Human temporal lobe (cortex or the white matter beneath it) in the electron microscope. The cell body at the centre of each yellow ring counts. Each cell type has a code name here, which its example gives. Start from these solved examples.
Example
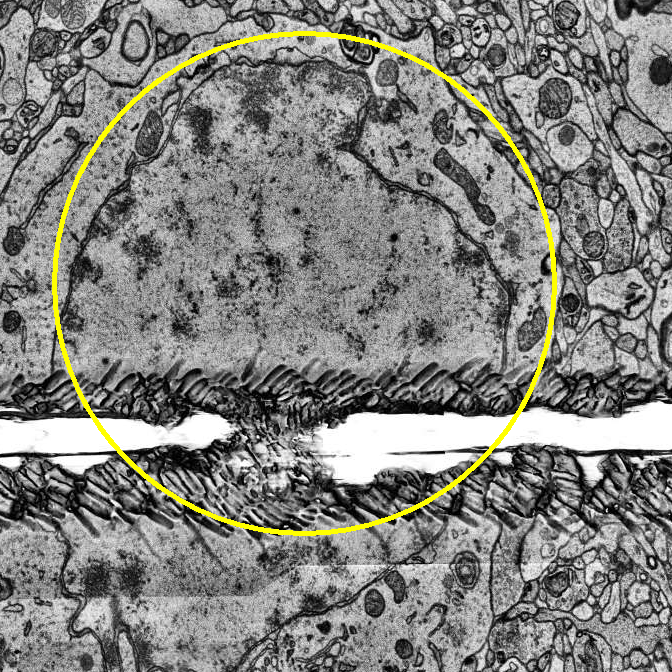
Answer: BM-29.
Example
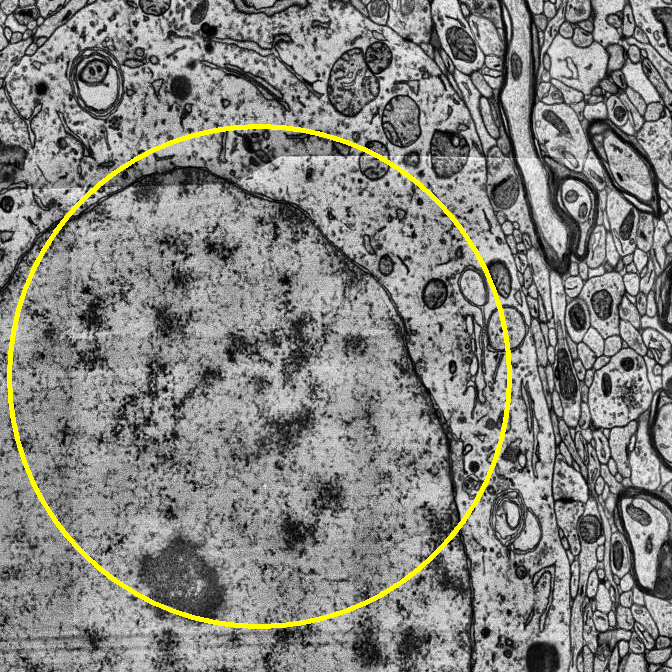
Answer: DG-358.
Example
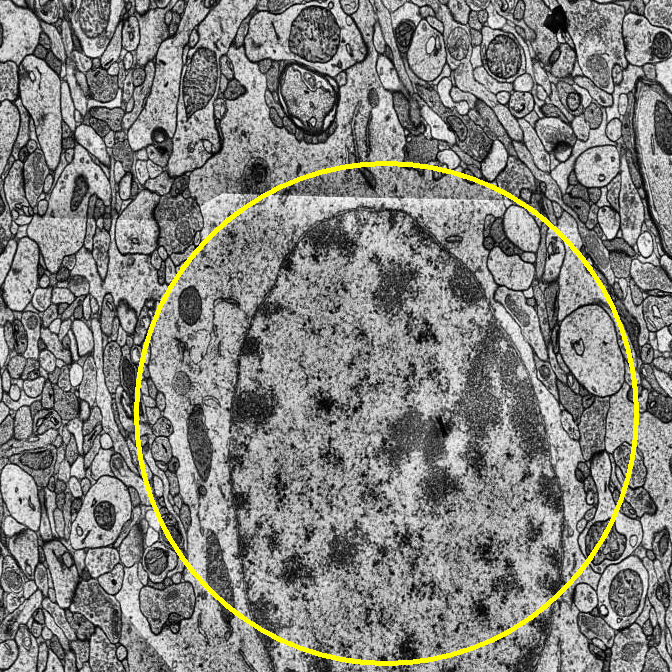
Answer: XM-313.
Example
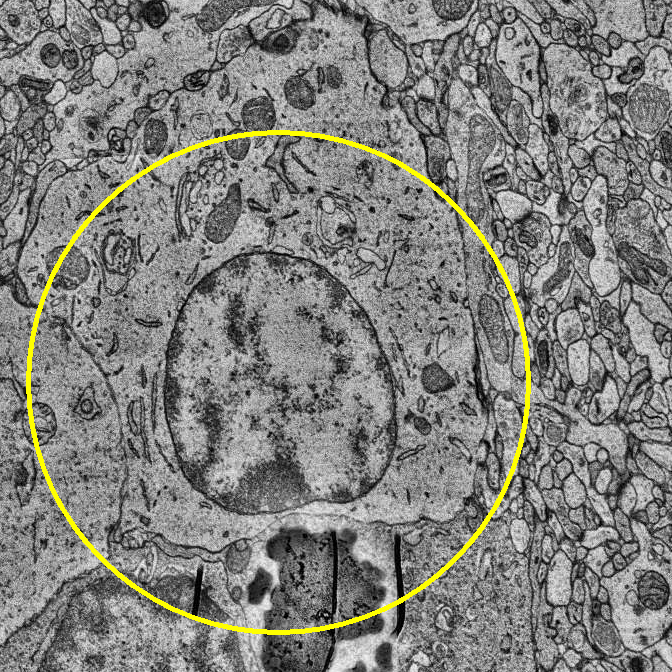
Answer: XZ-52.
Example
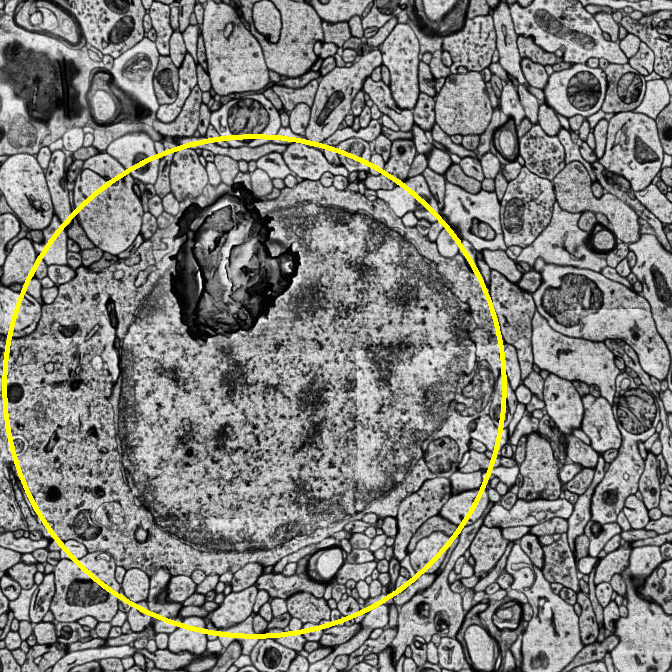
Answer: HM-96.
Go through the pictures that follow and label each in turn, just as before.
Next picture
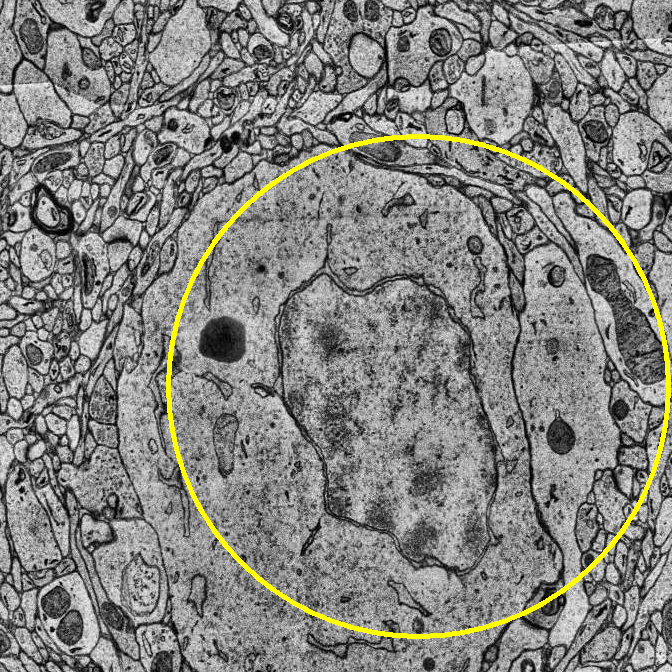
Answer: BM-29.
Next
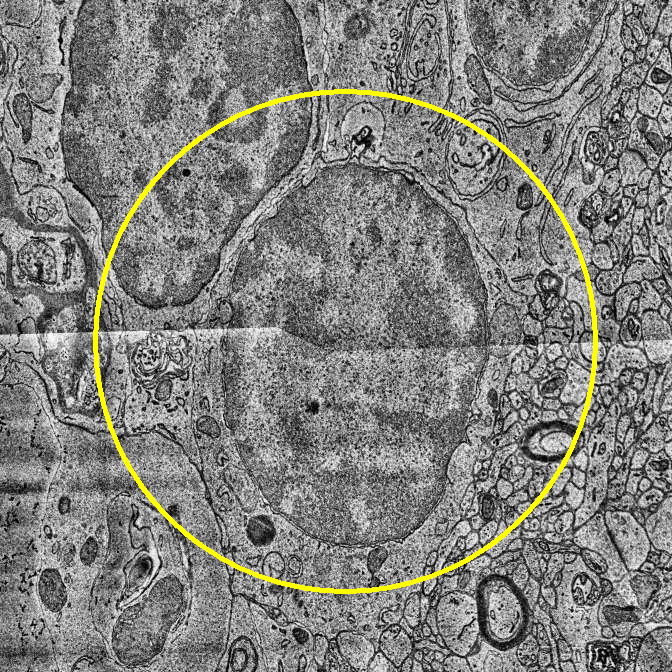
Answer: HM-96.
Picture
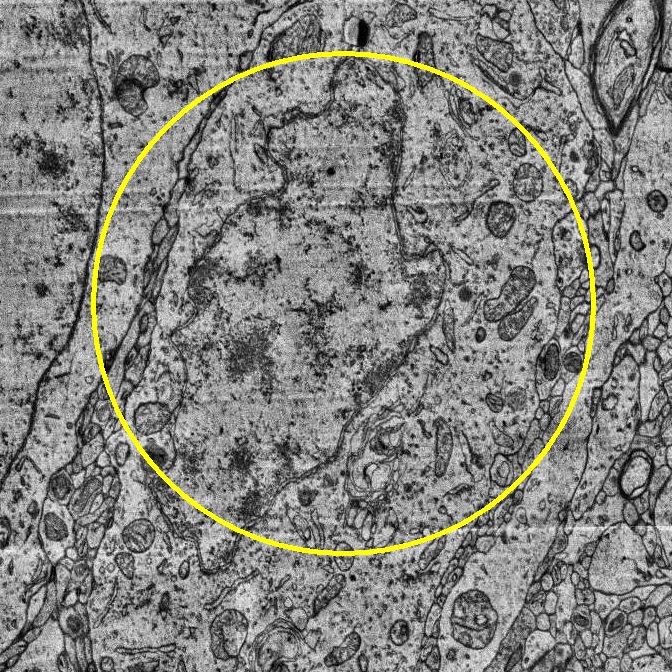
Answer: BM-29.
